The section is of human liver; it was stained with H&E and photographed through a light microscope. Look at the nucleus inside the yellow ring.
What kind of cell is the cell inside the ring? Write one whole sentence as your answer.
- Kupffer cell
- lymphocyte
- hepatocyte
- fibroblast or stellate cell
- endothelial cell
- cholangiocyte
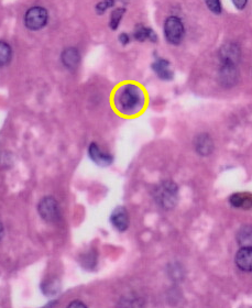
In the context of this tissue, the cell inside the ring is a fibroblast or stellate cell.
